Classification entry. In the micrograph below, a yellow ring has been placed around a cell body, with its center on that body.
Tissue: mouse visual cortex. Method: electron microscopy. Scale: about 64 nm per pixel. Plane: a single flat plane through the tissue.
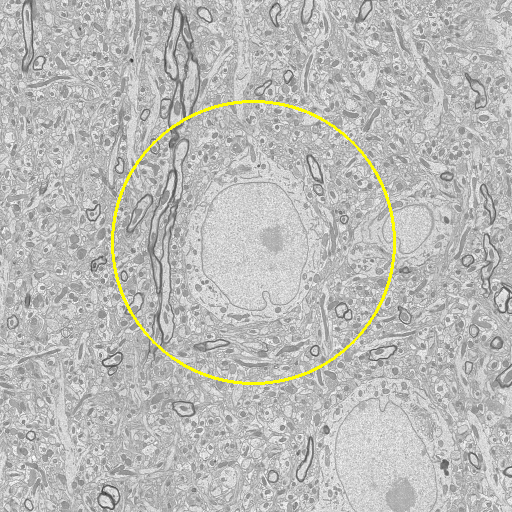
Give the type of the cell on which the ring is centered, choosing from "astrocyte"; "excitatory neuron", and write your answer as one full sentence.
The cell body at the center of the yellow ring belongs to an excitatory neuron.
